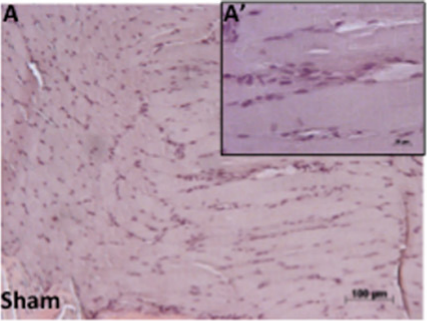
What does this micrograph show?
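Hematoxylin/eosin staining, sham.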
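Pale pink fibres run in several directions and lie closely side by side, with only narrow clefts between them. Elongated, slender dark purple nuclei are spread fairly evenly through the tissue, aligned along the long axis of the fibres. No dense clusters of small round cells are present, and the spaces between fibres are not widened. The enlarged inset shows smooth pink bands with flattened, spindle-shaped nuclei lying along their borders.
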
